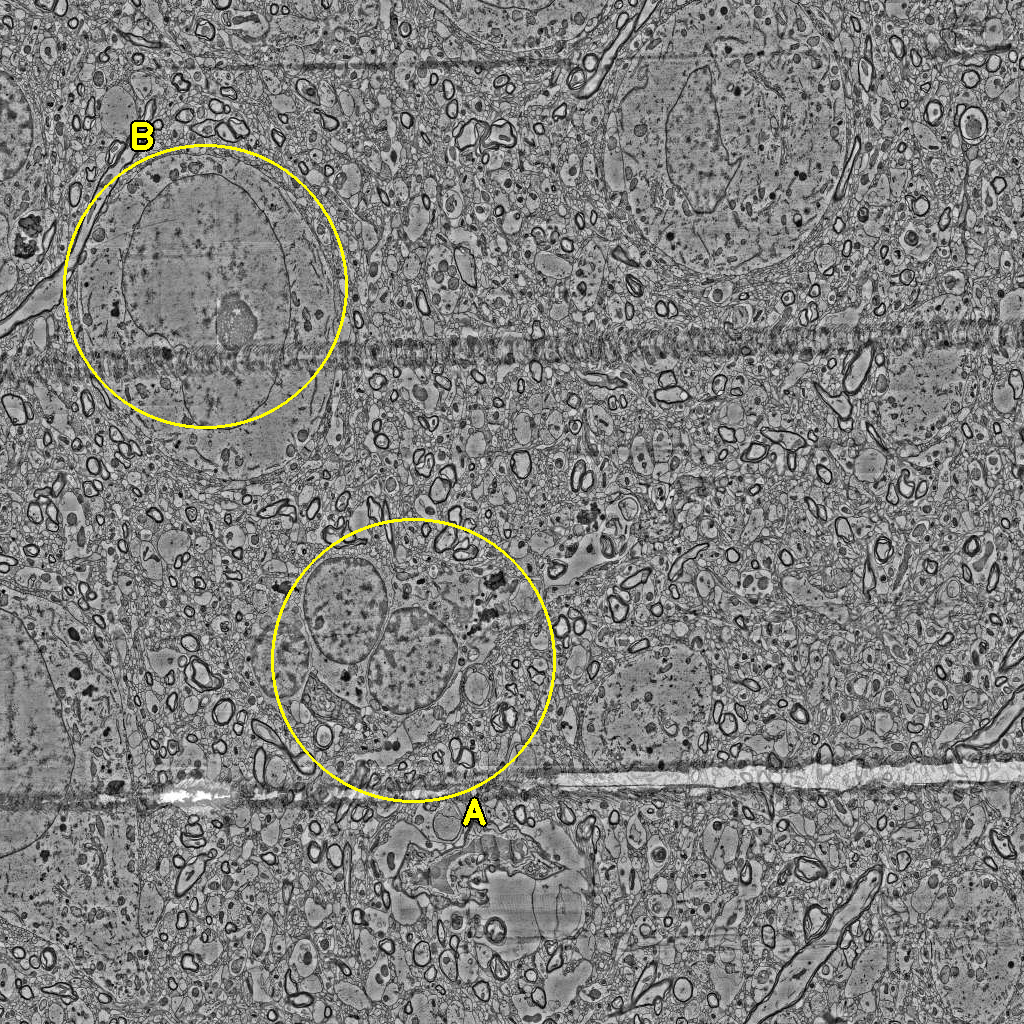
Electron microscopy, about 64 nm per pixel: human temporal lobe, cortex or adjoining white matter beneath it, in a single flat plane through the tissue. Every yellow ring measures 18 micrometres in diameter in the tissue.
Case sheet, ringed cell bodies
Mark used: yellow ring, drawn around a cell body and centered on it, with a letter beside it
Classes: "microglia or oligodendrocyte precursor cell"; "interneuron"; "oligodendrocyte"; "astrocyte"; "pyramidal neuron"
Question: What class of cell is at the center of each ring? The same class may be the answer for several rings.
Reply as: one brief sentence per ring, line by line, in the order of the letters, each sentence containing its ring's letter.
Ring A has an oligodendrocyte at its center.
Ring B has a pyramidal neuron at its center.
